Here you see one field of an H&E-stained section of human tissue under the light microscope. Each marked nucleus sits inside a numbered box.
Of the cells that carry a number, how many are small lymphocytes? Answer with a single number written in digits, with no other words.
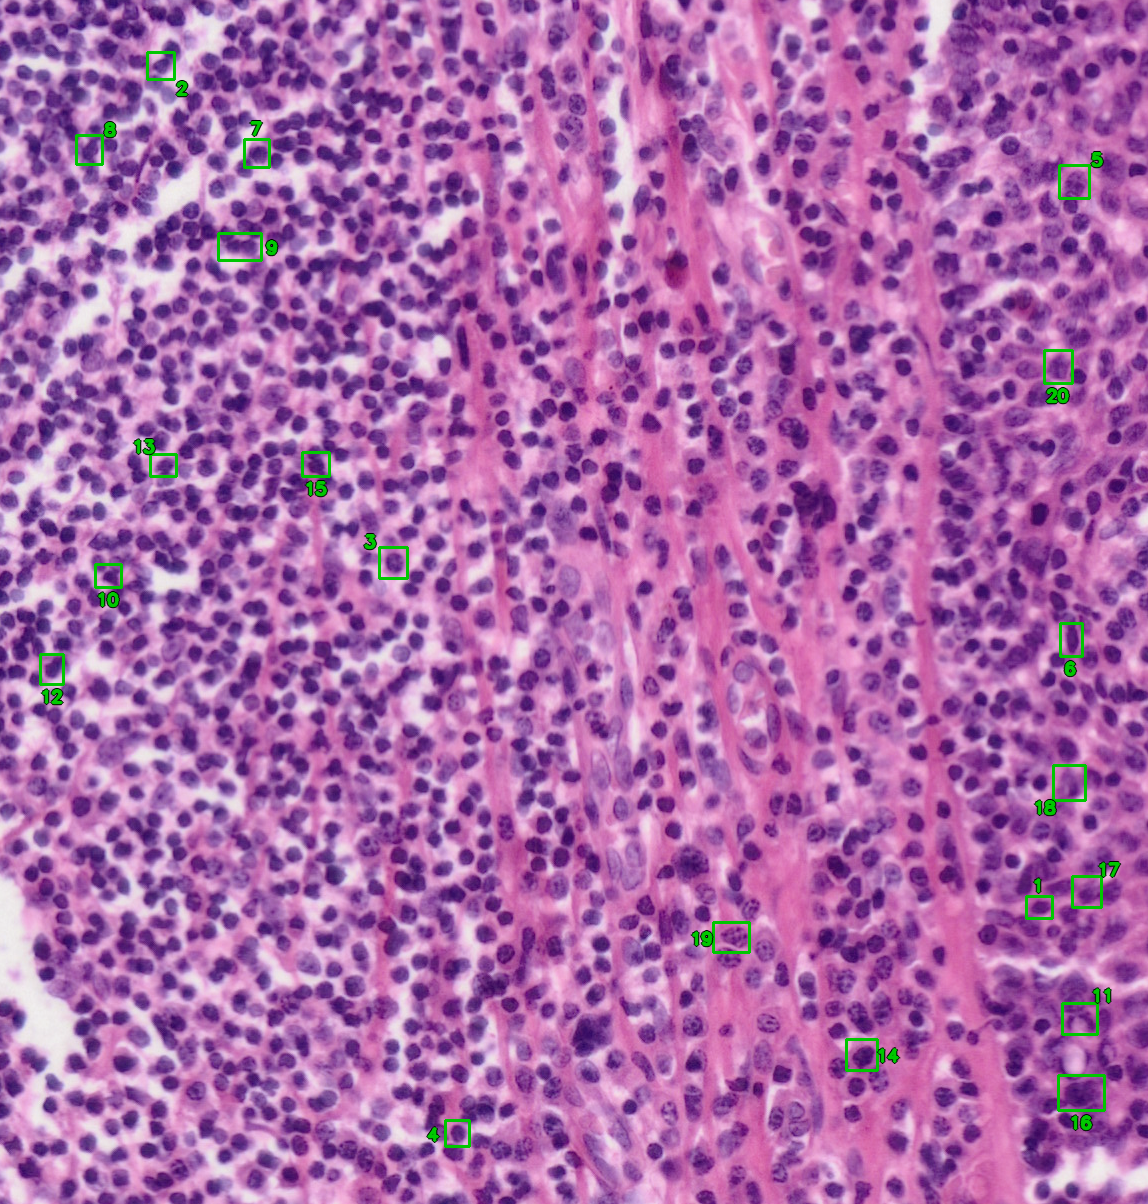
9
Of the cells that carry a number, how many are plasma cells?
3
